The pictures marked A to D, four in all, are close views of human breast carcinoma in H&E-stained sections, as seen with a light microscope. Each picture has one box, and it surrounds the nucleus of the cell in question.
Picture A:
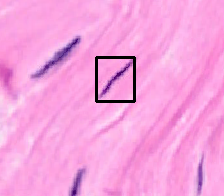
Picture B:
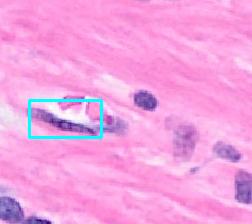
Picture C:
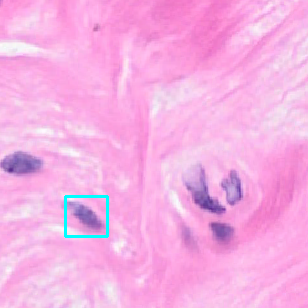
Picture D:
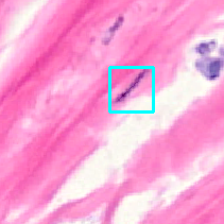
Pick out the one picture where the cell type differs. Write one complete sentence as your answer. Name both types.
Picture B differs, because its cell is an endothelial cell and the rest are fibroblasts.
